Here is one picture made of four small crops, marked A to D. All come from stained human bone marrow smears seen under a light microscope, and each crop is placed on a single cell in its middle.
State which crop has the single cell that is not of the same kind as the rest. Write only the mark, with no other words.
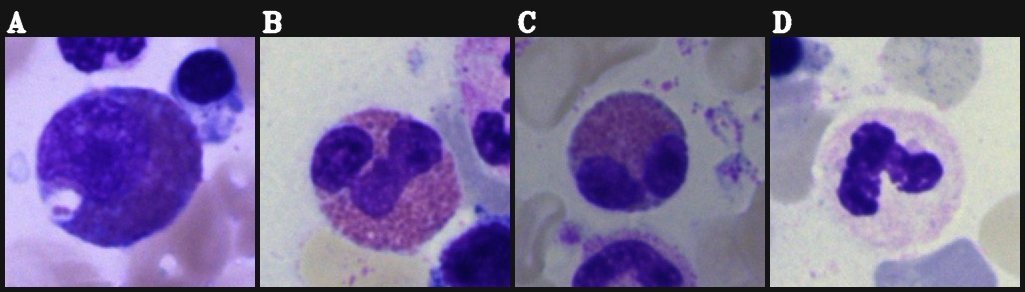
D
